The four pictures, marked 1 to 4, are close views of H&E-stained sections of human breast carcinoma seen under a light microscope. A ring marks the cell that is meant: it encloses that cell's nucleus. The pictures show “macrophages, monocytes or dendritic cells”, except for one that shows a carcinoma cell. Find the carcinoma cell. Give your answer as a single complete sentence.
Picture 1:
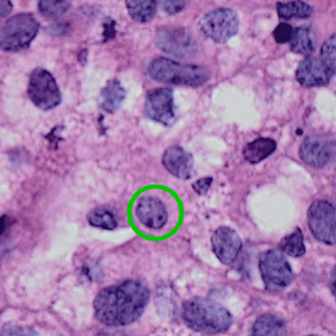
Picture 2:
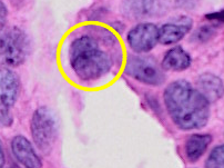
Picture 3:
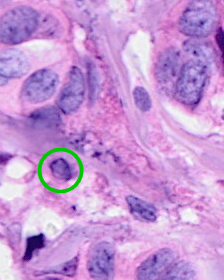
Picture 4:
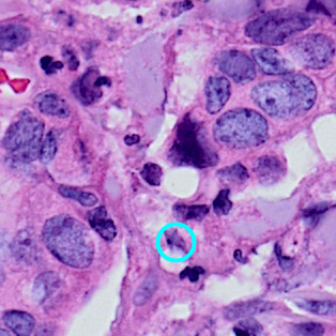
The picture with the carcinoma cell is 2.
